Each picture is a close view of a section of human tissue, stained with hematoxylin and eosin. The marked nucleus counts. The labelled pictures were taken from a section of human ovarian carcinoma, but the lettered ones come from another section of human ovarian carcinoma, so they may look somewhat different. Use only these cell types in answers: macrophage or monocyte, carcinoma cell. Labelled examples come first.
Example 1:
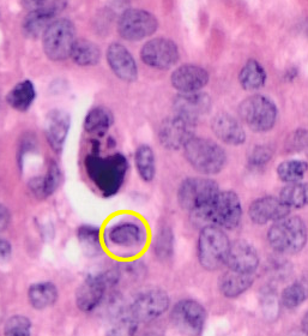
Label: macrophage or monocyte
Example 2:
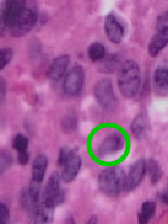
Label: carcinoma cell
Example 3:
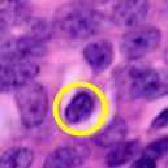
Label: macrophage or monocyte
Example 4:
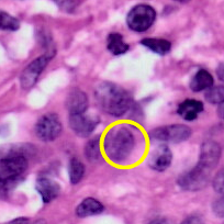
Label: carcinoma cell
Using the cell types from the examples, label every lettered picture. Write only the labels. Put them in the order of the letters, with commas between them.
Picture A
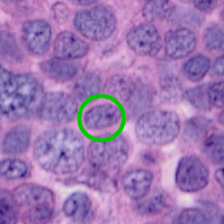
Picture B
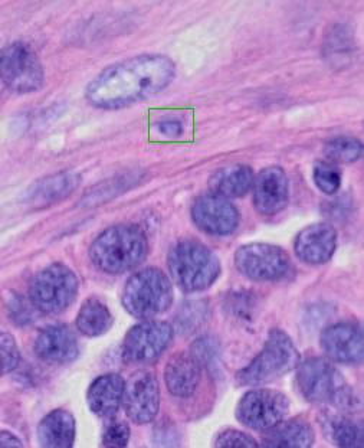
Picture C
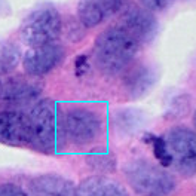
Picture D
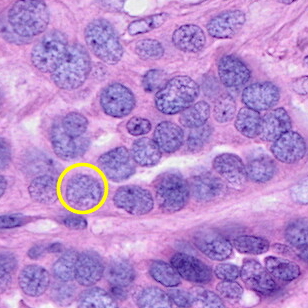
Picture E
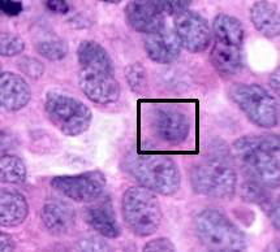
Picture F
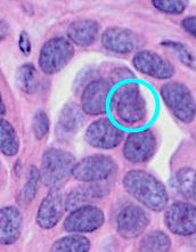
carcinoma cell, macrophage or monocyte, carcinoma cell, carcinoma cell, carcinoma cell, carcinoma cell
